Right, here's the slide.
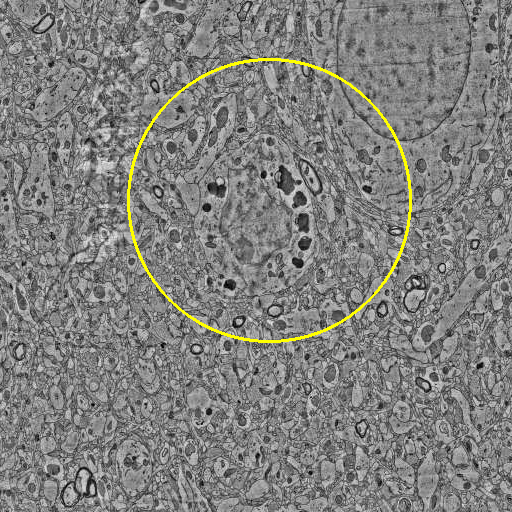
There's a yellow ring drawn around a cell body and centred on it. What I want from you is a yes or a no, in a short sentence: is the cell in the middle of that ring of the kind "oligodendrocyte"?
No, it's of some other kind.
